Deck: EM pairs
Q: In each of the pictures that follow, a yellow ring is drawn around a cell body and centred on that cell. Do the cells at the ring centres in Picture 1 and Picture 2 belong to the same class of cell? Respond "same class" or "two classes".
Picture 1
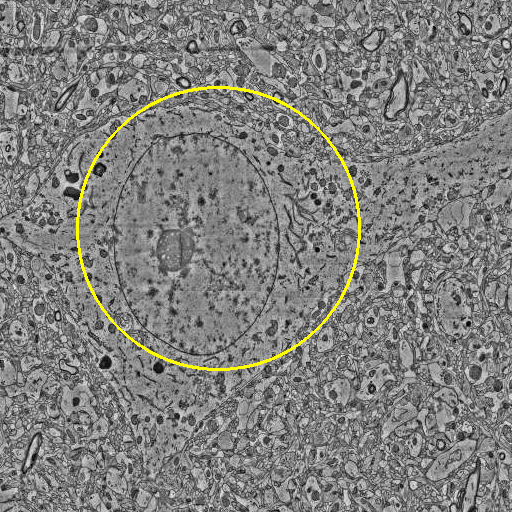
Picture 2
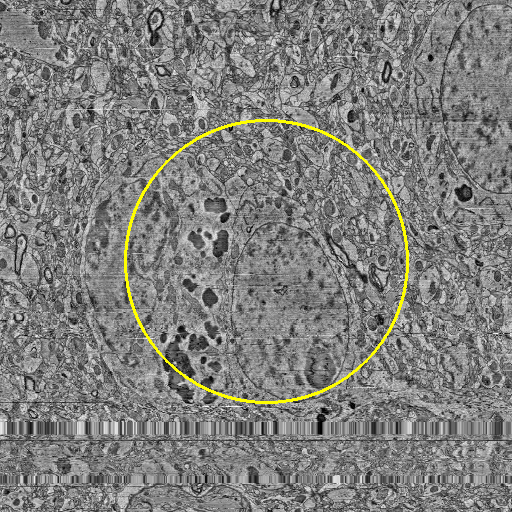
same class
